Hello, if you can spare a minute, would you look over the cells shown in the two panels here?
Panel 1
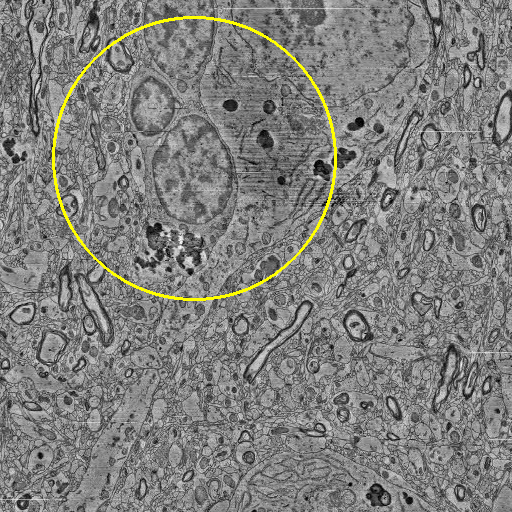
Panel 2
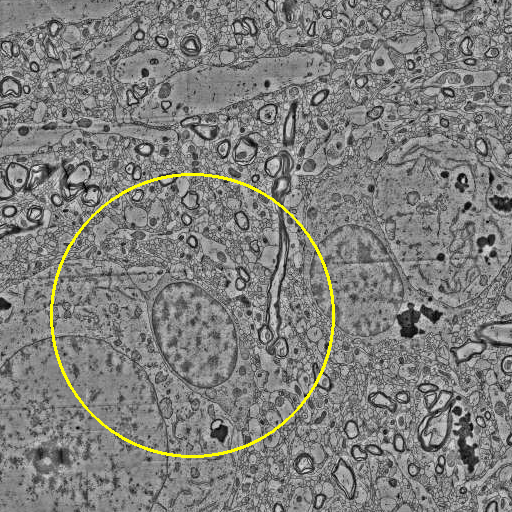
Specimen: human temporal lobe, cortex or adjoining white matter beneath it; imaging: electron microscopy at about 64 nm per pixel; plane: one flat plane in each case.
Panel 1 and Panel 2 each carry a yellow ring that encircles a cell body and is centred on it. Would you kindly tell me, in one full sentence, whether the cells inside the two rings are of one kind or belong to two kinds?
The cells at the centres of the rings in Panel 1 and Panel 2 are of one kind.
